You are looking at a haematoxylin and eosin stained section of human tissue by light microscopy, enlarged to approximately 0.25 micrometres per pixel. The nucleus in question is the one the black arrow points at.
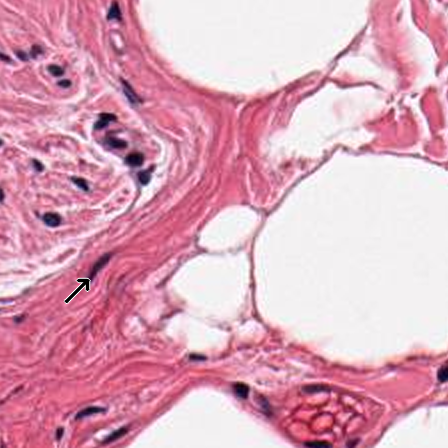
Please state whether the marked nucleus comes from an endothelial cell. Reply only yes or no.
no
